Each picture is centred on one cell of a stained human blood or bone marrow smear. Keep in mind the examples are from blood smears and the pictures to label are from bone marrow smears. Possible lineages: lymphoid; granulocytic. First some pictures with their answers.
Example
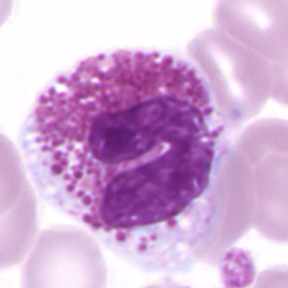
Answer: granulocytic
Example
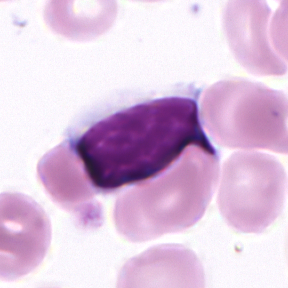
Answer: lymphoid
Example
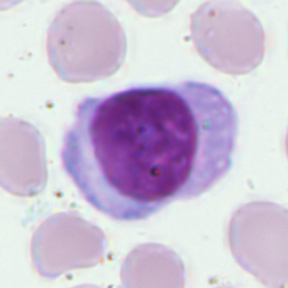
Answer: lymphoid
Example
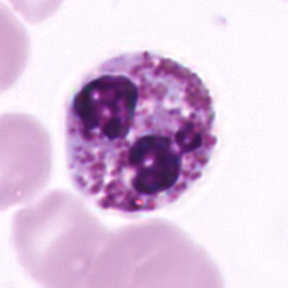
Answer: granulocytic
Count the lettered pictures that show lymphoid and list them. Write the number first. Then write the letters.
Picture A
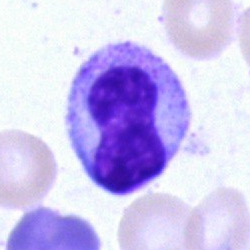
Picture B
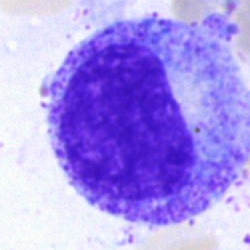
0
